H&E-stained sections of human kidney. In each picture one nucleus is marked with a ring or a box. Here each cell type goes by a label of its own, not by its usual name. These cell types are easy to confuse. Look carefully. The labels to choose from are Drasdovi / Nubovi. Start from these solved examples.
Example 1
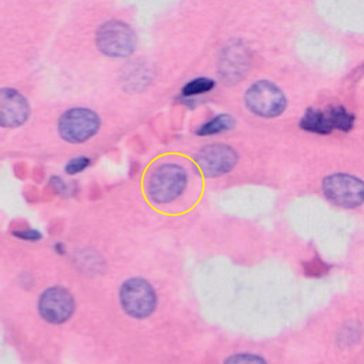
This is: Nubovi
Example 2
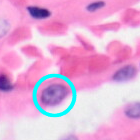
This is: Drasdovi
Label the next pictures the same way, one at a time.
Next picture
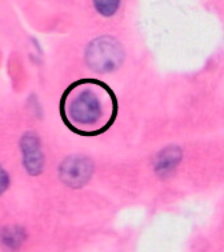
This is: Nubovi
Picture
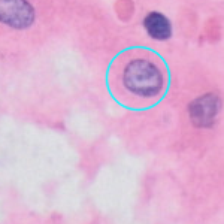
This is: Nubovi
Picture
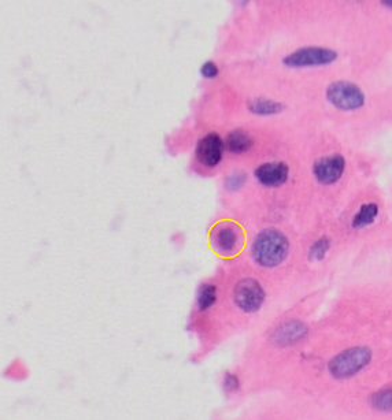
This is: Drasdovi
